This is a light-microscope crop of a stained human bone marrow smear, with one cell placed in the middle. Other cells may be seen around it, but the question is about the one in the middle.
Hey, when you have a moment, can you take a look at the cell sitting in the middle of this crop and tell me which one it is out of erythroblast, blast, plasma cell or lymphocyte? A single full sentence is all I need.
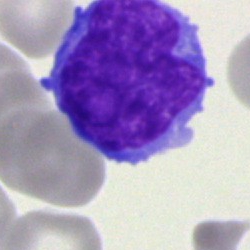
Classified as a blast is the cell in the middle of this crop.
